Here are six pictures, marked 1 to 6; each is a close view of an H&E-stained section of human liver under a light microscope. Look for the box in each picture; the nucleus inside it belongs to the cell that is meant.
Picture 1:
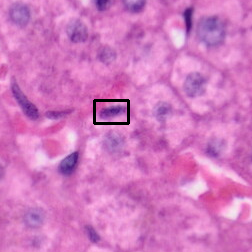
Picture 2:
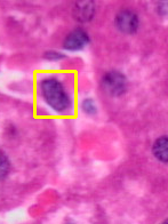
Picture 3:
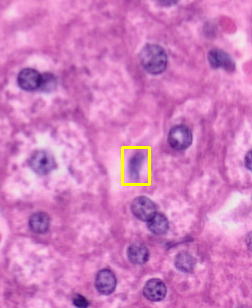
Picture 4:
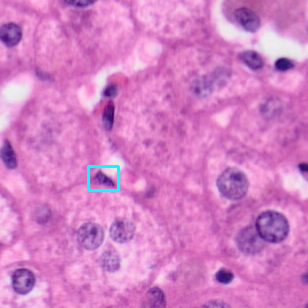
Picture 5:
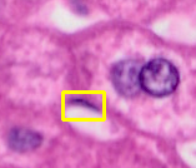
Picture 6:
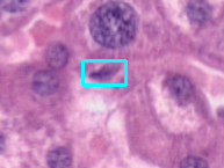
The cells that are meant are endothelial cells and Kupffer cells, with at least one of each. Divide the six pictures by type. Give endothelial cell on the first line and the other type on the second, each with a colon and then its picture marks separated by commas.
endothelial cell: 1, 4, 5, 6
Kupffer cell: 2, 3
